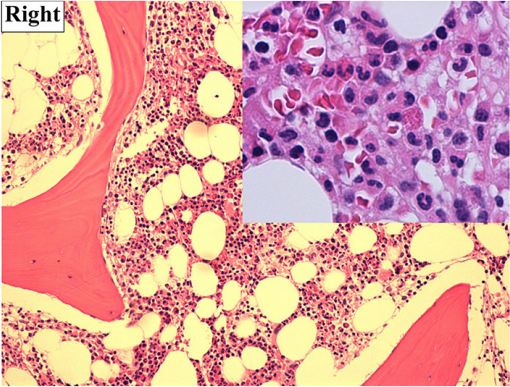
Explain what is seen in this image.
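This is a bone marrow biopsy with pink bone trabeculae enclosing marrow spaces filled with normal cells. Many round, clear fat cells of varying size lie scattered through the marrow spaces. Between them lie small, darkly stained blood-forming cells in a mixed population rather than a uniform sheet. In the inset the cells vary in size and nuclear shape, and red blood cells lie among them in pink cytoplasmic and stromal background. The overall picture is of marrow with both fat and blood-forming elements.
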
